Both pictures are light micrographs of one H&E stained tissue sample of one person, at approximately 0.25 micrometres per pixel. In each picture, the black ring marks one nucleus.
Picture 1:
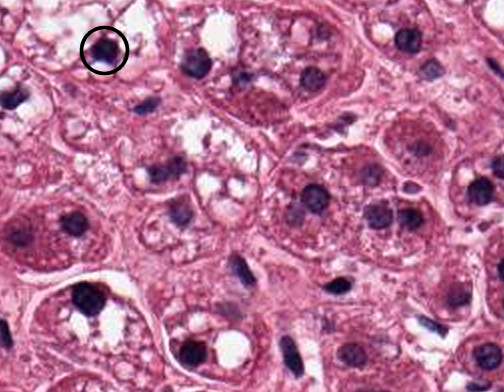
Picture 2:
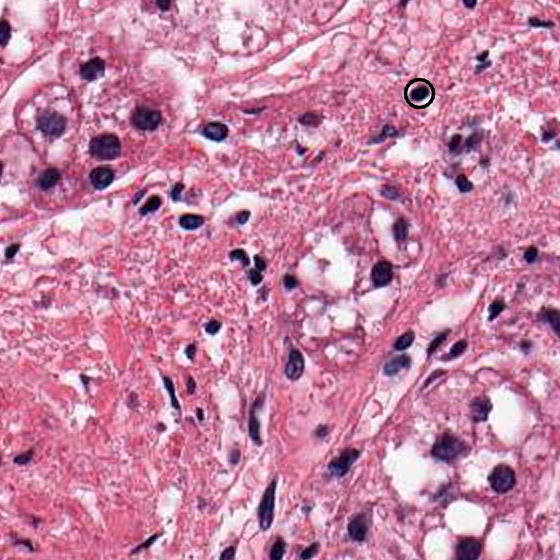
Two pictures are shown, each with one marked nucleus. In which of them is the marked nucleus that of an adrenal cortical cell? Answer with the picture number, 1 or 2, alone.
1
